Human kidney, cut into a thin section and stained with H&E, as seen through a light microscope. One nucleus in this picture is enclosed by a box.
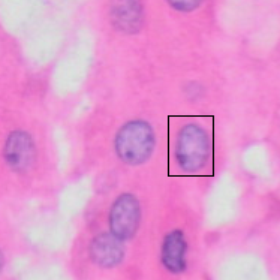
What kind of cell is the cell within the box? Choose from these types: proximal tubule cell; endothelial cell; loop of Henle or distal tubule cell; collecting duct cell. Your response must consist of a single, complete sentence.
Within the stained tissue, the cell within the box is a proximal tubule cell.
